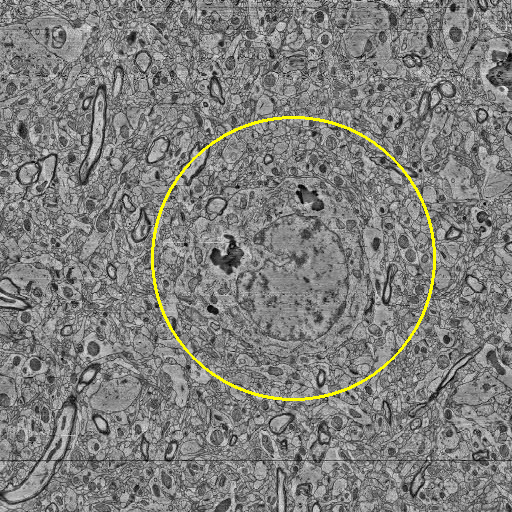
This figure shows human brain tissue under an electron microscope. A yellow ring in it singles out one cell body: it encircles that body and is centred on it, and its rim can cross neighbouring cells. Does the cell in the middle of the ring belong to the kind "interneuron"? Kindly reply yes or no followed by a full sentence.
Yes, the kind asked about is right for the cell centred in the figure's ring.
